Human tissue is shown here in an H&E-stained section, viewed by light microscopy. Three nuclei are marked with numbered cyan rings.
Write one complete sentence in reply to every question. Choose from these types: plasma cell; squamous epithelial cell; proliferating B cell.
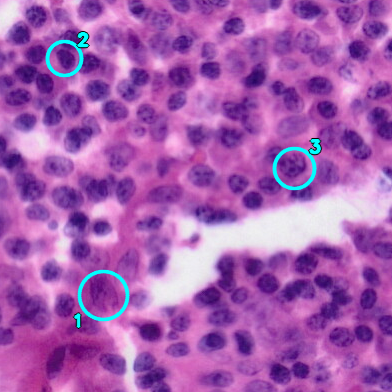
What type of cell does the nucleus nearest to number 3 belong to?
The nucleus nearest to number 3 is that of a plasma cell.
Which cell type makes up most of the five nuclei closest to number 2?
Most of the five nuclei nearest to number 2 are those of plasma cells.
